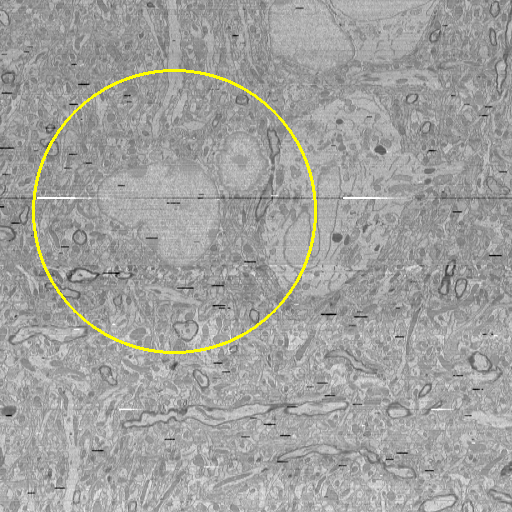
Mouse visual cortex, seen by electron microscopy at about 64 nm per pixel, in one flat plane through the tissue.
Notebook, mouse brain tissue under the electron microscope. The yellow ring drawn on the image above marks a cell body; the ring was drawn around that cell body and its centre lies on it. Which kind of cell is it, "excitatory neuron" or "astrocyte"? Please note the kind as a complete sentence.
The marked cell body is that of an astrocyte.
